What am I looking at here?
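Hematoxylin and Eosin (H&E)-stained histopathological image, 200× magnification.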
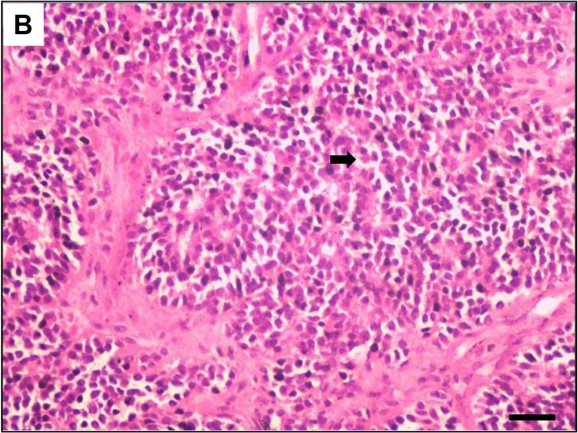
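This is a small round cell malignant tumor made of densely packed small round to spindle-shaped primitive cells. The nuclei are dark purple and hyperchromatic, with only a thin rim of scant pale cytoplasm around each. The cells form nests divided by bands of pink fibrous tissue, and in places they gather in rings around a small central space, forming rosette-like clusters.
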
